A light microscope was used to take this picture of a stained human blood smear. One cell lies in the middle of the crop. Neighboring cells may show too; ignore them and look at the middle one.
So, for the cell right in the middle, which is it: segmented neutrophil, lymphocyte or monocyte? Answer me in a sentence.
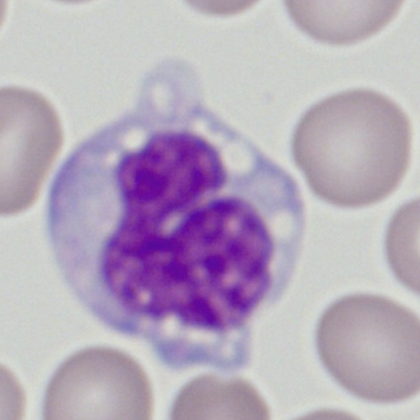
The identification for the central cell is a monocyte.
